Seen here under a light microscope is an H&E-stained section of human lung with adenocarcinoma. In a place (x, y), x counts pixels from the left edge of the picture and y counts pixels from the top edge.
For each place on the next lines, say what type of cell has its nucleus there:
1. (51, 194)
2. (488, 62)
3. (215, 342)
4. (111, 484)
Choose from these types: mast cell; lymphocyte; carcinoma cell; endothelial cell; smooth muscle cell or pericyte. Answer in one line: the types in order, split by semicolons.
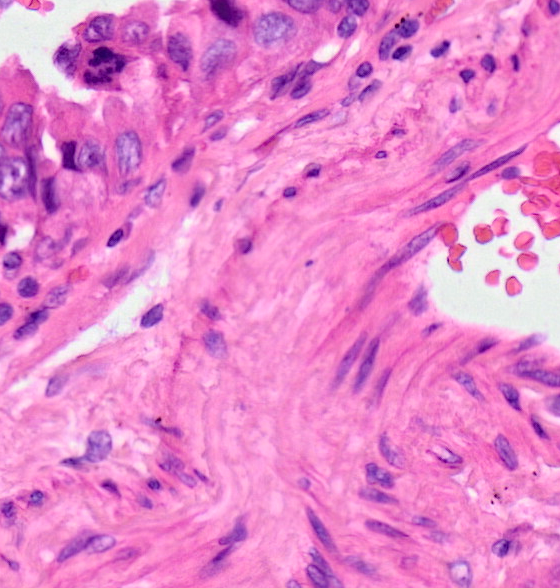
carcinoma cell; smooth muscle cell or pericyte; smooth muscle cell or pericyte; smooth muscle cell or pericyte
